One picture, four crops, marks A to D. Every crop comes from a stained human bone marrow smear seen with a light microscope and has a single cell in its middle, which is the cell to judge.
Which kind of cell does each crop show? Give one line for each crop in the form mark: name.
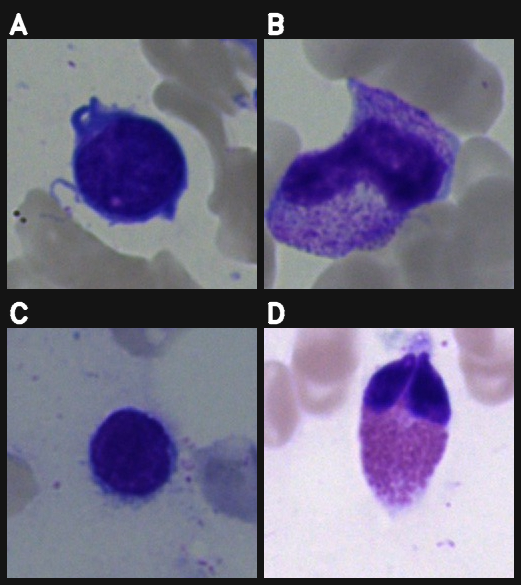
A: blast
B: band neutrophil
C: lymphocyte
D: eosinophil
